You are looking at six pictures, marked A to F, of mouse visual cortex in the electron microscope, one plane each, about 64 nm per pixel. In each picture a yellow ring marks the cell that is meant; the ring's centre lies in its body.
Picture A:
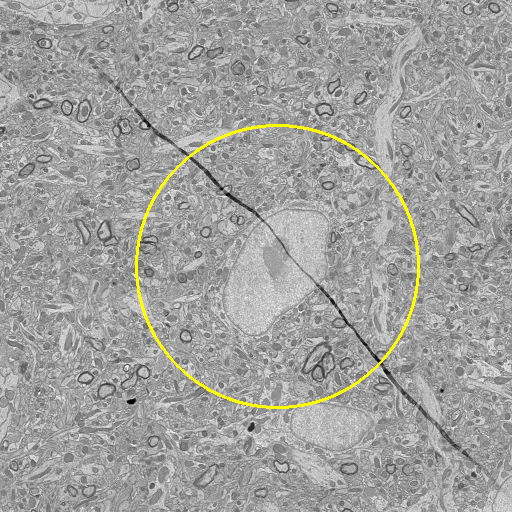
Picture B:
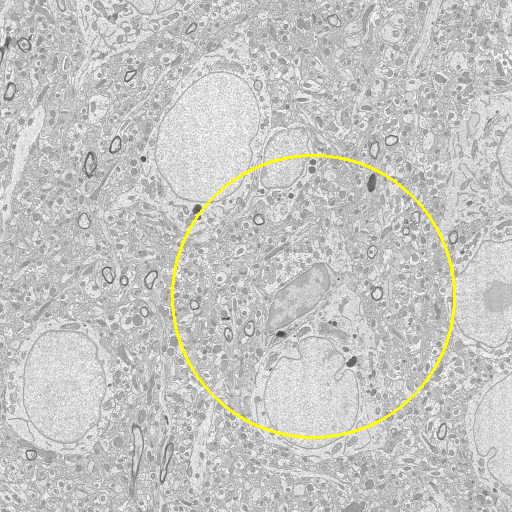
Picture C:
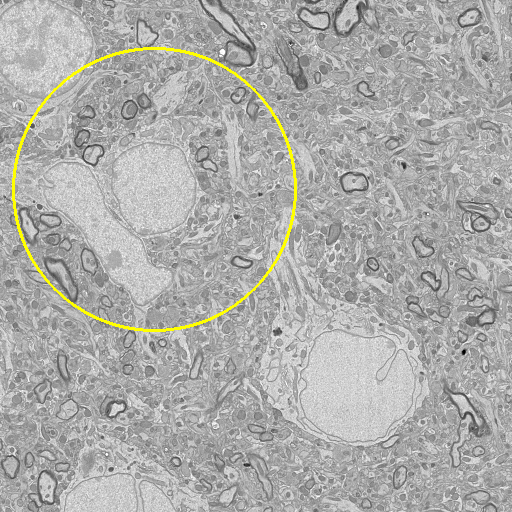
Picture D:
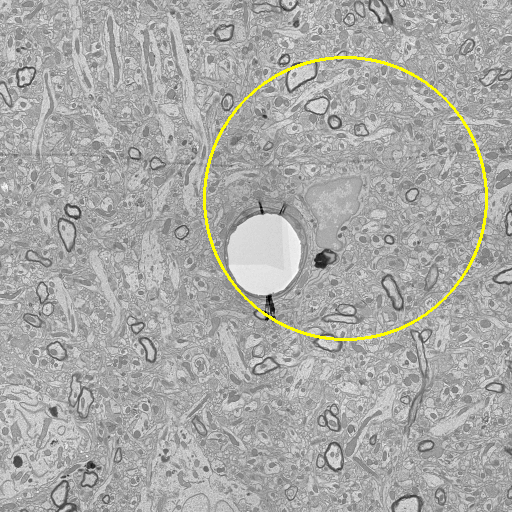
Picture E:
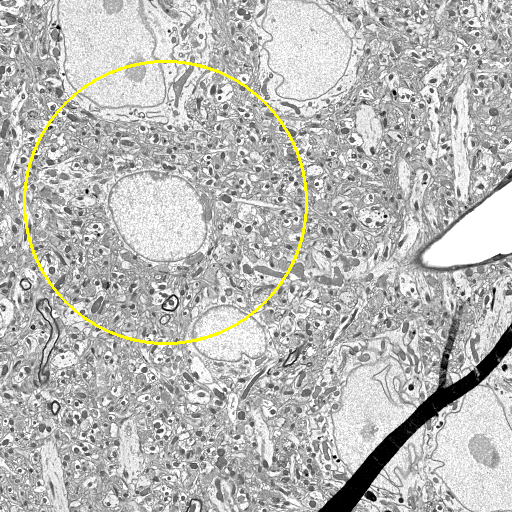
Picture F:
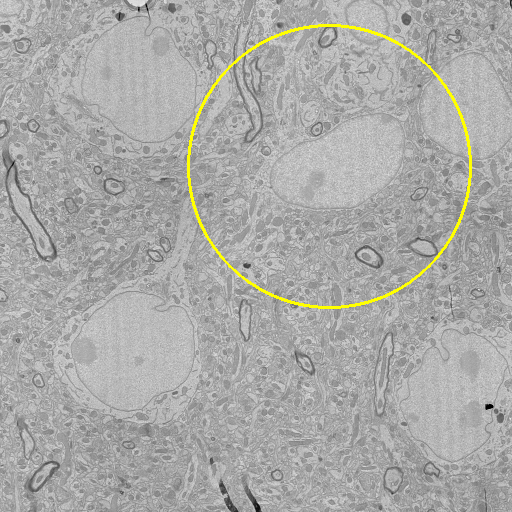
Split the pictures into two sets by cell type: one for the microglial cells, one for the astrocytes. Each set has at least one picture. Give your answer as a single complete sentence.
Pictures B and D show microglial cells, and pictures A, C, E and F show astrocytes.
